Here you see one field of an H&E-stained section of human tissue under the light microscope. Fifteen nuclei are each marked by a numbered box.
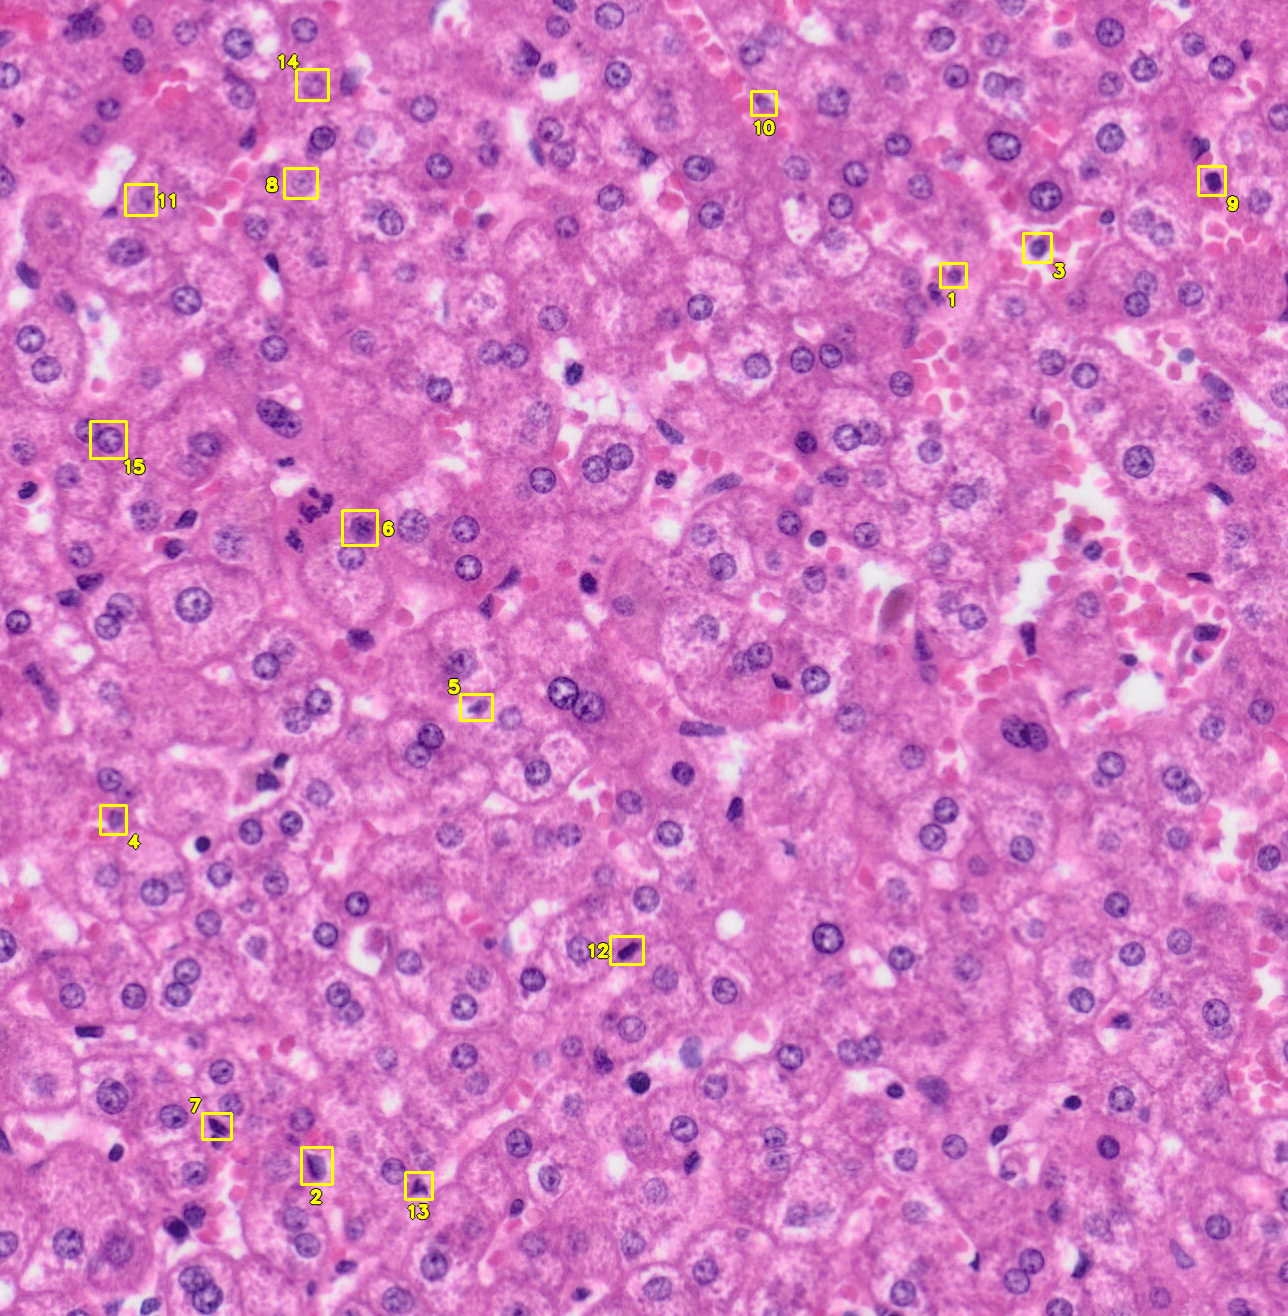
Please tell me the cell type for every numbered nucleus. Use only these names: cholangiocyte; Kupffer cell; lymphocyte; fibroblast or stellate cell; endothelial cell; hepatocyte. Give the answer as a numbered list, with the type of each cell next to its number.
1. lymphocyte
2. endothelial cell
3. lymphocyte
4. Kupffer cell
5. endothelial cell
6. endothelial cell
7. fibroblast or stellate cell
8. hepatocyte
9. lymphocyte
10. Kupffer cell
11. hepatocyte
12. fibroblast or stellate cell
13. endothelial cell
14. hepatocyte
15. hepatocyte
